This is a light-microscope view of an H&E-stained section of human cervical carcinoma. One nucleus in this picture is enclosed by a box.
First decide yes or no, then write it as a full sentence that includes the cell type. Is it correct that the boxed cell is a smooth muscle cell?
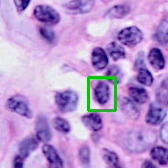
No, it is a lymphocyte, not a smooth muscle cell, that the boxed cell represents.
